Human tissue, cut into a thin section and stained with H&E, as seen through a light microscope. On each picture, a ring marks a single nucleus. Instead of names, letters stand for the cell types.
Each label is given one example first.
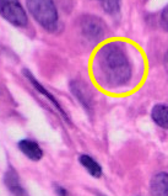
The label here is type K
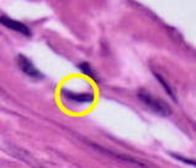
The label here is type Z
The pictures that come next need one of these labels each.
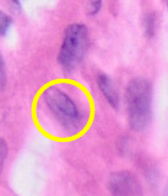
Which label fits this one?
type Z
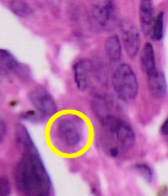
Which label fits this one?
type K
